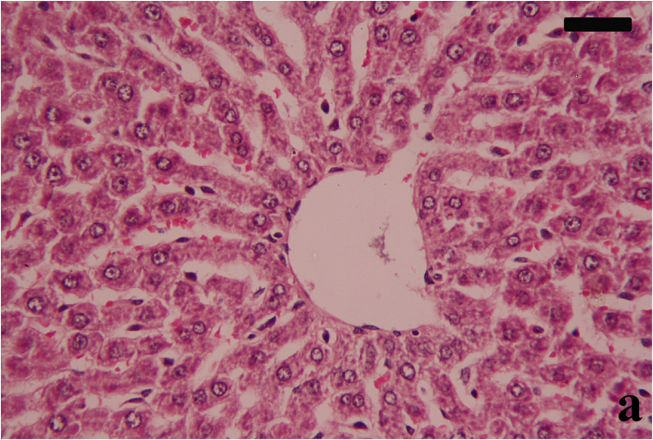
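This is liver tissue with hepatocytes arranged in plates that radiate from a central, round, empty vessel lined by flat cells. The hepatocytes are polygonal, with pink granular cytoplasm. Each has a round central nucleus with a prominent nucleolus, and some cells appear to have two nuclei. Narrow, clear sinusoids run between the plates. Small, elongated dark nuclei along the sinusoids likely belong to lining cells, and a few red blood cells lie within them. The arrangement is regular and orderly, with no inflammatory cells or empty spaces inside the cells, which fits normal liver structure.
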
